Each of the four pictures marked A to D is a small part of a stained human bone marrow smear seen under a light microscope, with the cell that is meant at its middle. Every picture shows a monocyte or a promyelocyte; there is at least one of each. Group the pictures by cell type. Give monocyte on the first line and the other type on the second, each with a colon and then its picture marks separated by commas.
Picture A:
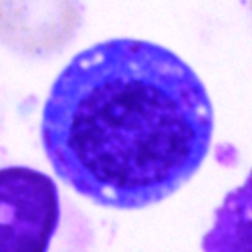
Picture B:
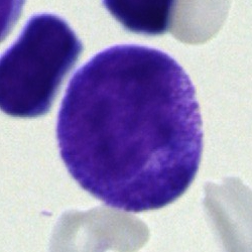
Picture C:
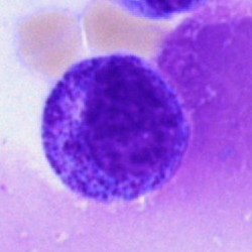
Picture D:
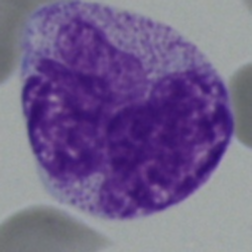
monocyte: D
promyelocyte: A, B, C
